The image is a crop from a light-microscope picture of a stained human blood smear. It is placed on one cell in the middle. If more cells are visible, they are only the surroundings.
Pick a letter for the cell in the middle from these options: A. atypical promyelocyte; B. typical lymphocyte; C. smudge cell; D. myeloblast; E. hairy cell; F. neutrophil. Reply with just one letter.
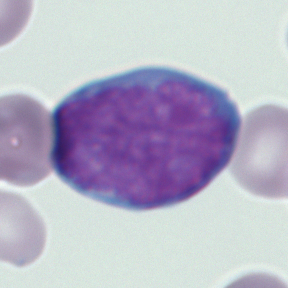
D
